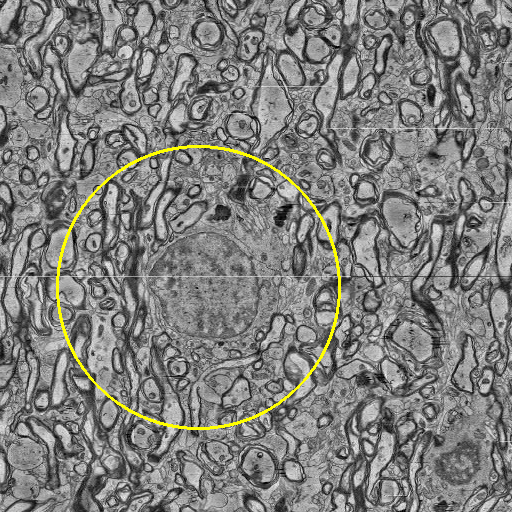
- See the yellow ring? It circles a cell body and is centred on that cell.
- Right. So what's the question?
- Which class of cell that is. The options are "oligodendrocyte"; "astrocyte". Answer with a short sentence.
The centre of the ring holds an oligodendrocyte.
